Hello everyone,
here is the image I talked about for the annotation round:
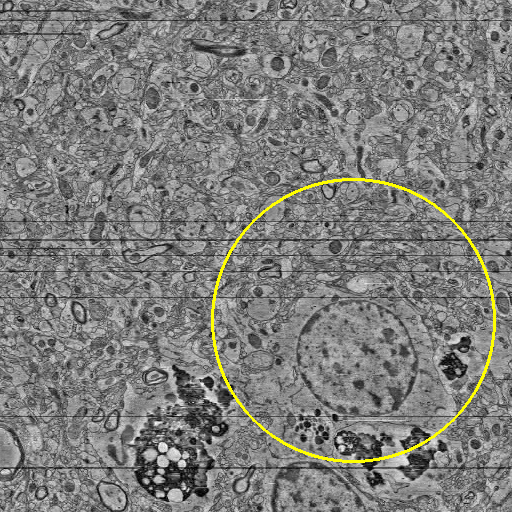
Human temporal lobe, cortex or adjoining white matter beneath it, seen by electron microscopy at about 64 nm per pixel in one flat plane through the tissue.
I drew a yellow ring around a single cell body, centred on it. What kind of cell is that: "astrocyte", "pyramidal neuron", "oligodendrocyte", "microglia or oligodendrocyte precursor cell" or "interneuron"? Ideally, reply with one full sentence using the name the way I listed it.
The cell your yellow ring is centred on is an astrocyte, going by your list.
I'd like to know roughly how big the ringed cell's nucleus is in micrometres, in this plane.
In this plane the nucleus is about 8 micrometres across.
